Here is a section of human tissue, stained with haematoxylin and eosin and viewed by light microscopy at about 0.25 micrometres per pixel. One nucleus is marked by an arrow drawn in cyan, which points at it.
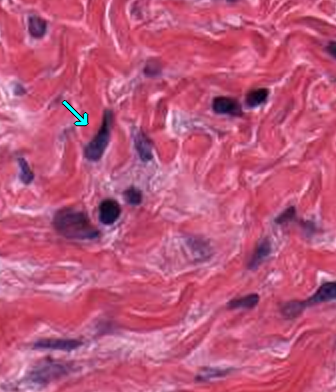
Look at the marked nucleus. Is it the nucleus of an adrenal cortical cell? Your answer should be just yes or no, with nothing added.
no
